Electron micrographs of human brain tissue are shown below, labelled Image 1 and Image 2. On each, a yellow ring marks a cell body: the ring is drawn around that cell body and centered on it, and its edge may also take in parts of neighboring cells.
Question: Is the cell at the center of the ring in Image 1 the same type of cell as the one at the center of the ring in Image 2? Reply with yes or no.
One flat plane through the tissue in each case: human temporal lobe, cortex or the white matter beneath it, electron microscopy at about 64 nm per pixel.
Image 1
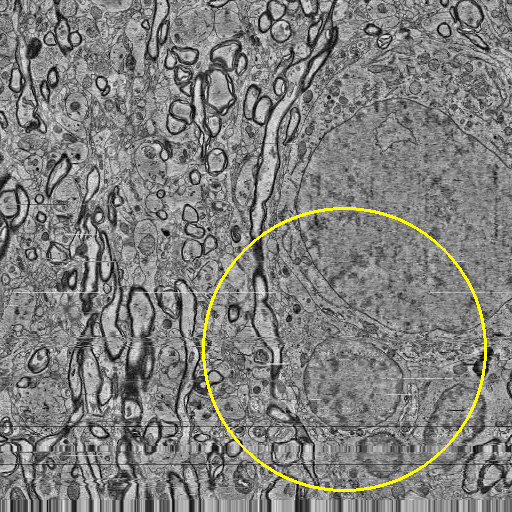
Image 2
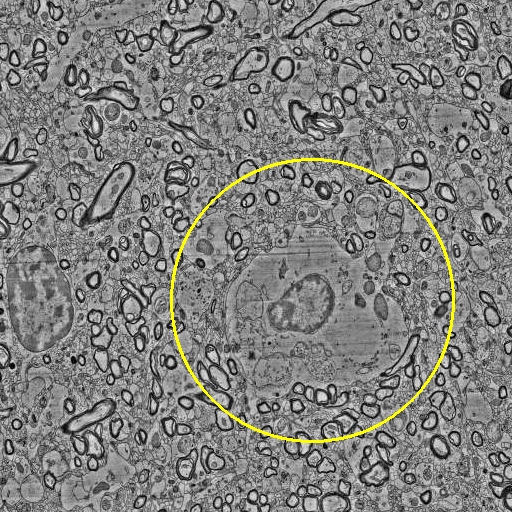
no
